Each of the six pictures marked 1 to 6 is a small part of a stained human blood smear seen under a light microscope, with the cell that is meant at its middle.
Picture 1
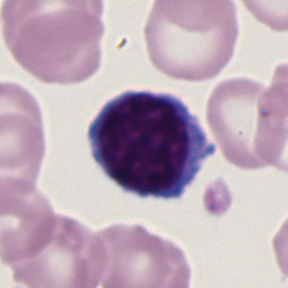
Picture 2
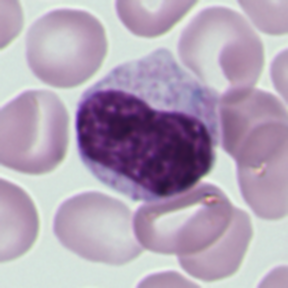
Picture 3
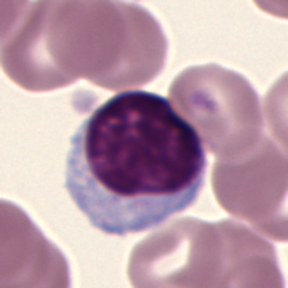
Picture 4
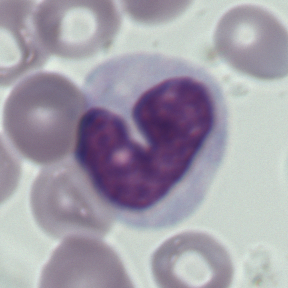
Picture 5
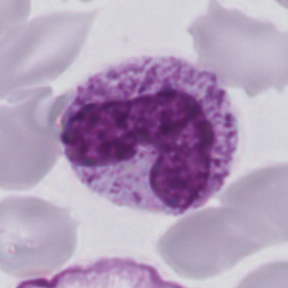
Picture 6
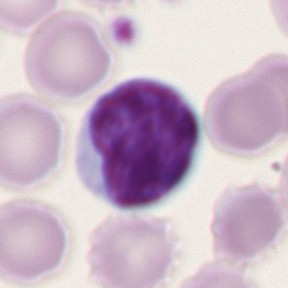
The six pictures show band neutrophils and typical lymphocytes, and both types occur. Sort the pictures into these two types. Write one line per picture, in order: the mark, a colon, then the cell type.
1: typical lymphocyte
2: band neutrophil
3: typical lymphocyte
4: band neutrophil
5: band neutrophil
6: typical lymphocyte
